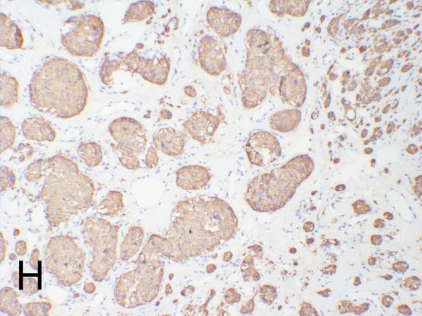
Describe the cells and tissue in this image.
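The tumor cells form rounded nests and lobules of varied size set in pale stroma. The cells within the nests show diffuse light-brown cytoplasm, with darker brown at some nest borders. The stroma between the nests is pale, with few nuclei, and some clear rounded spaces lie among the nests. Toward one corner the nests become small and closely packed.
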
